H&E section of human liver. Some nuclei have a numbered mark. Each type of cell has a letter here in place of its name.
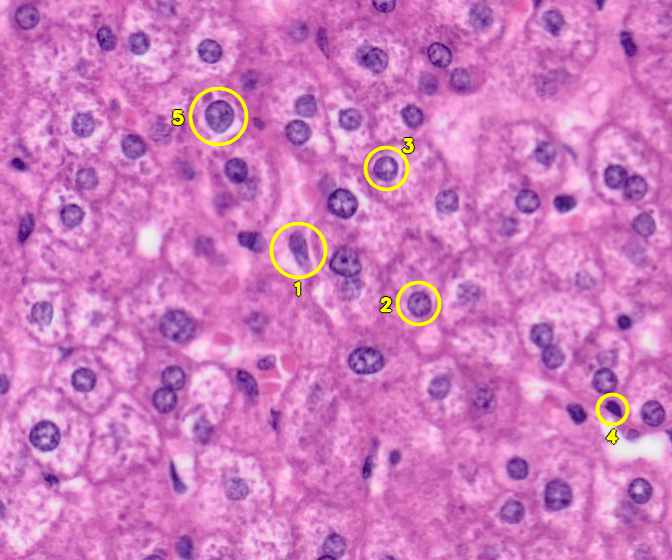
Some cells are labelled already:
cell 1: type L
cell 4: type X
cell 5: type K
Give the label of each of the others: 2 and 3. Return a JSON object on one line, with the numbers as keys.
{"2": "type K", "3": "type K"}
